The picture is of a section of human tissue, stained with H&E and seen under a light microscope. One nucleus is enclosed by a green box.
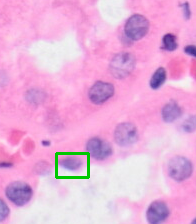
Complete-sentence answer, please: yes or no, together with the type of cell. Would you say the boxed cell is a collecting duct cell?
No, the boxed cell corresponds to a loop of Henle or distal tubule cell rather than to a collecting duct cell.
